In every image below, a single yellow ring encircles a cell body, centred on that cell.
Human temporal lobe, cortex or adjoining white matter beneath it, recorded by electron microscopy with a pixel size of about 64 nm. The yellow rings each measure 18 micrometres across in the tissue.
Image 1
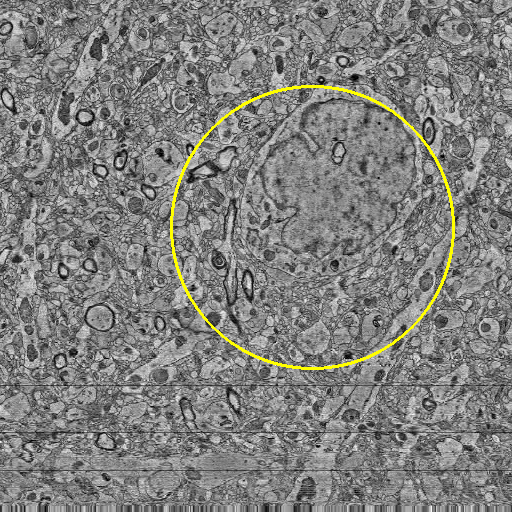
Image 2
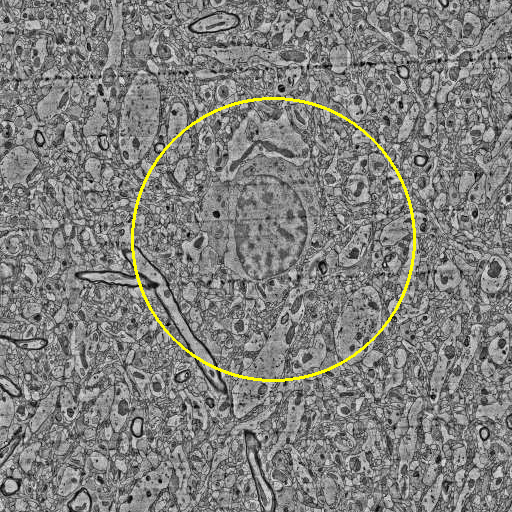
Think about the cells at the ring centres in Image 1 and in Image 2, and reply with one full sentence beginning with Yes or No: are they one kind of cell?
No, the cells centred in the rings of Image 1 and Image 2 are two kinds of cell.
